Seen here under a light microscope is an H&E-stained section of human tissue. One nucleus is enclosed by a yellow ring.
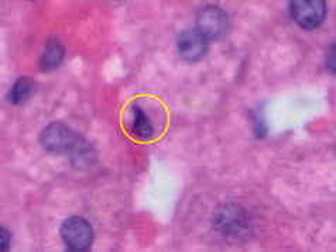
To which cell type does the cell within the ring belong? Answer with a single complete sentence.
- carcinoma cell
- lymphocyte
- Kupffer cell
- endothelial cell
For cell typing purposes, the cell within the ring is an endothelial cell.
